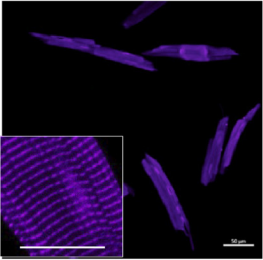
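Isolated cardiac myocytes, rod-shaped with blunt stepped ends, lie scattered and variously oriented. Magenta staining fills the cytoplasm, and in the enlarged inset it forms regular closely spaced transverse bands across the cell.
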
